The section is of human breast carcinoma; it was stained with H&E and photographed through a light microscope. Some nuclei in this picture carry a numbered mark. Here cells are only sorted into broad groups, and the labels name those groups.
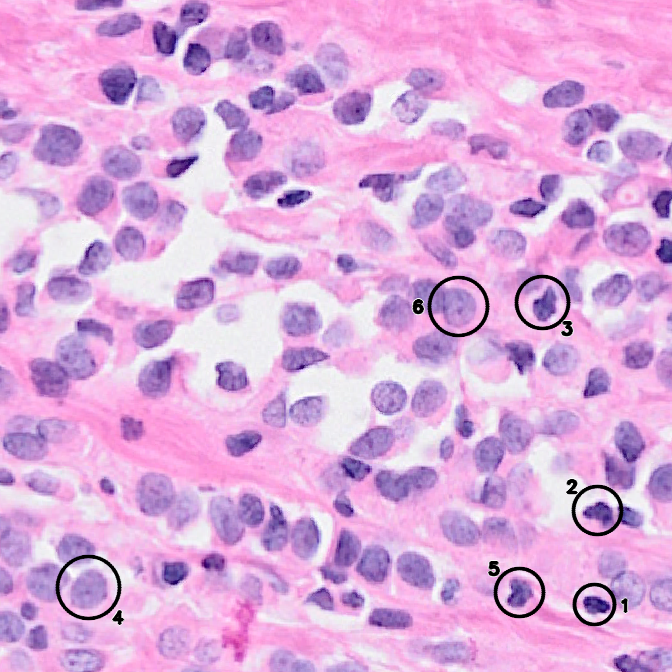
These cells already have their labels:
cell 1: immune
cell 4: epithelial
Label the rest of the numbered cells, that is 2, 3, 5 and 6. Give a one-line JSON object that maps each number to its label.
{"2": "immune", "3": "immune", "5": "immune", "6": "epithelial"}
